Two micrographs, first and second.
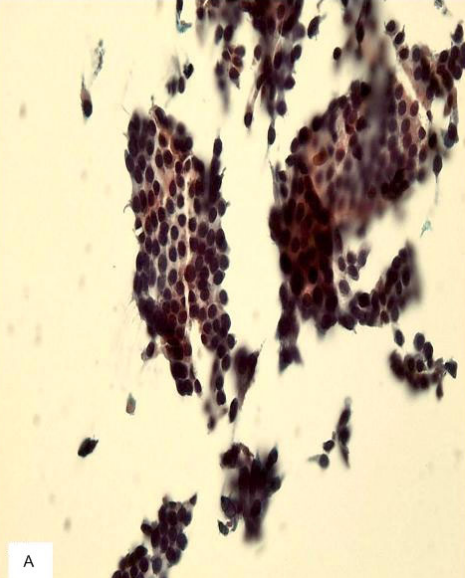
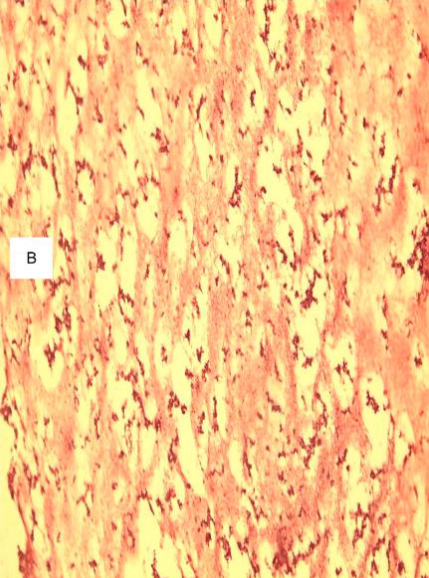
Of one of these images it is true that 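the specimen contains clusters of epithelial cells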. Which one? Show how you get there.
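First image: many crowded clusters of epithelial cells with dark nuclei.
Answer: the first image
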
